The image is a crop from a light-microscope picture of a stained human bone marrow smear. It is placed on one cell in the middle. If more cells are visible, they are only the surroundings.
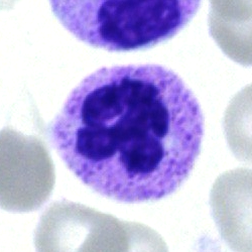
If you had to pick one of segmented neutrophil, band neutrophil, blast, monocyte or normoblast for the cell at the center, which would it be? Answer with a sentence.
Here the cell in the middle is a segmented neutrophil.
